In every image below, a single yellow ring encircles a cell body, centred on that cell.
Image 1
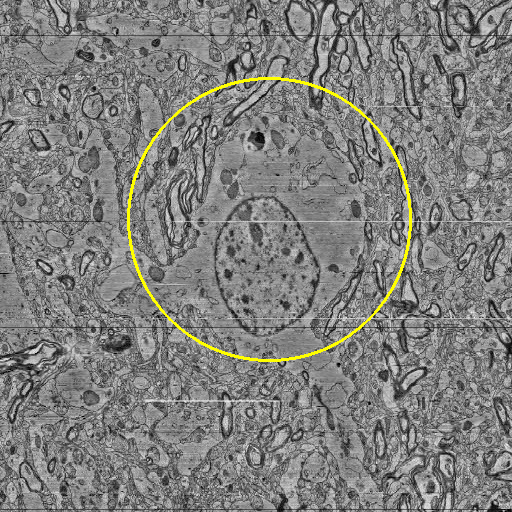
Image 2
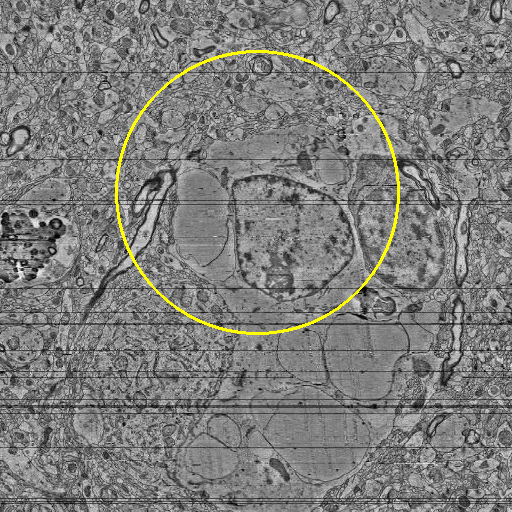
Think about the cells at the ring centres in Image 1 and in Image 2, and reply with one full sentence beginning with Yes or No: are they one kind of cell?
Yes, the cells centred in the rings of Image 1 and Image 2 are one kind of cell.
